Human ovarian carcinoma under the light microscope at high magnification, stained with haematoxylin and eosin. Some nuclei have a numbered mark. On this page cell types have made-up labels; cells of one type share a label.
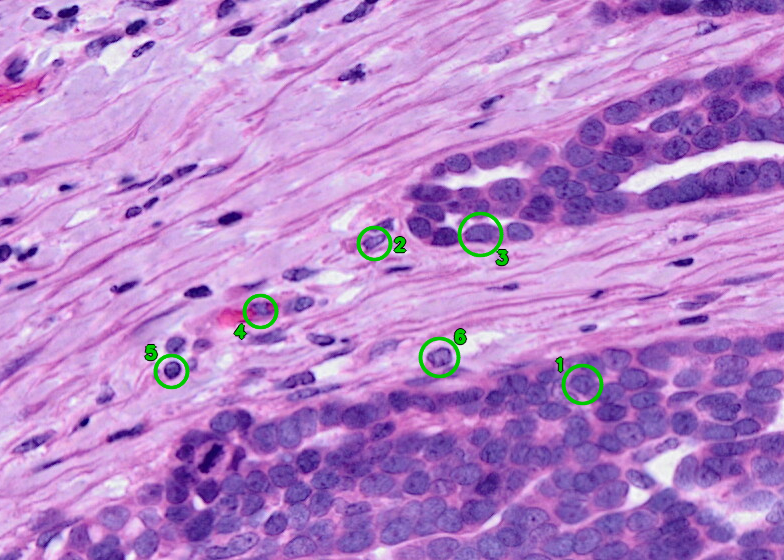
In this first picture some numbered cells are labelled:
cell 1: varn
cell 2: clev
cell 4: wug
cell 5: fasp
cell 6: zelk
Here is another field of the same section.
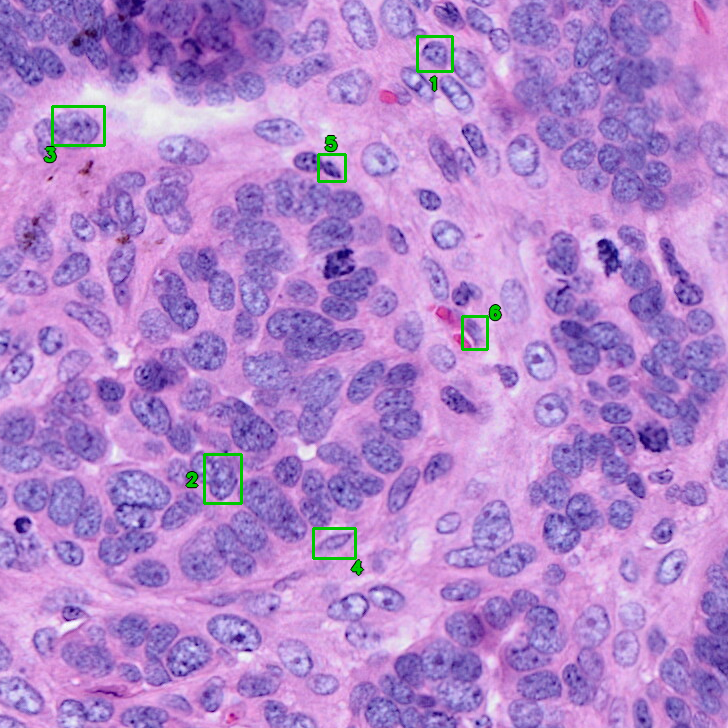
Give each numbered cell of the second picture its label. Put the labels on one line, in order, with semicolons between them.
zelk; varn; clev; clev; fasp; wug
